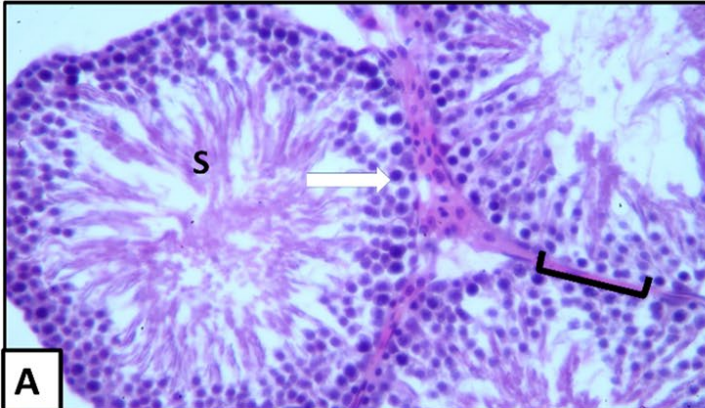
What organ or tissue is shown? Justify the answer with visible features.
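Rounded tubules are lined by several layers of cells with round nuclei. Pink tails fill the tubule centre. Thin pink walls separate neighbouring tubules. On this evidence: Seminiferous tubules.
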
